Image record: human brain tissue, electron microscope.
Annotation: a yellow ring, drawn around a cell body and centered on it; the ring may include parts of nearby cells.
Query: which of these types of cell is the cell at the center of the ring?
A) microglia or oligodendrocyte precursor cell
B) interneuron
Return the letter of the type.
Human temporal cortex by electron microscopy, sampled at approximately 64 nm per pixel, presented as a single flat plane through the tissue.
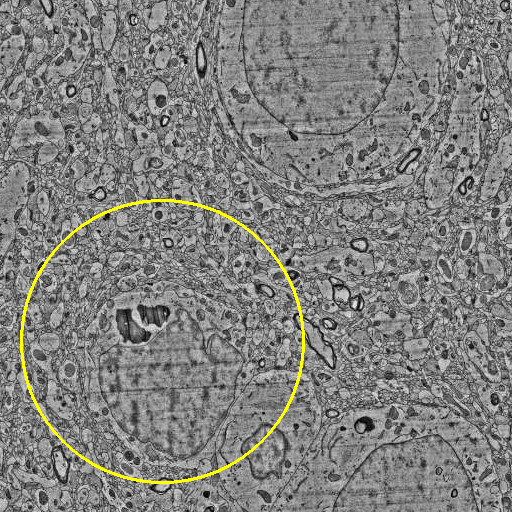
B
